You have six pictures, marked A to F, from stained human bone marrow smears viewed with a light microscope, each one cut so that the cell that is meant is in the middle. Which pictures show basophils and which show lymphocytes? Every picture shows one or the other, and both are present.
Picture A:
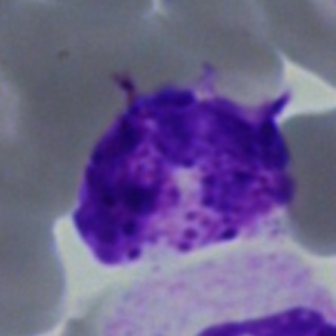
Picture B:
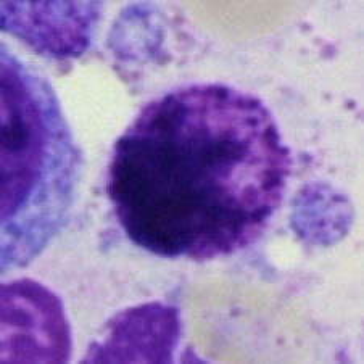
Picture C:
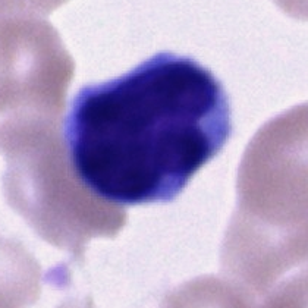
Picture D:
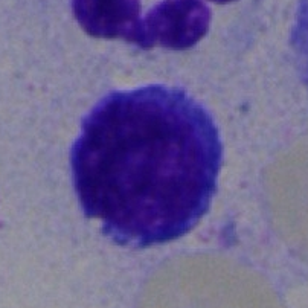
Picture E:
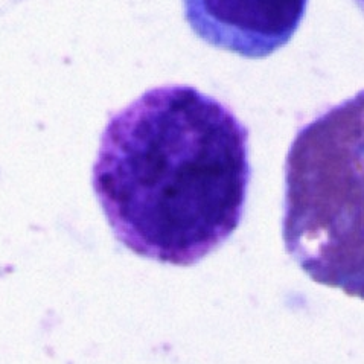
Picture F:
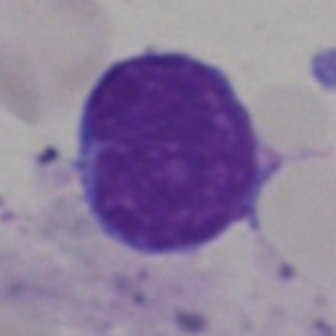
A: basophil
B: basophil
C: lymphocyte
D: lymphocyte
E: basophil
F: lymphocyte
